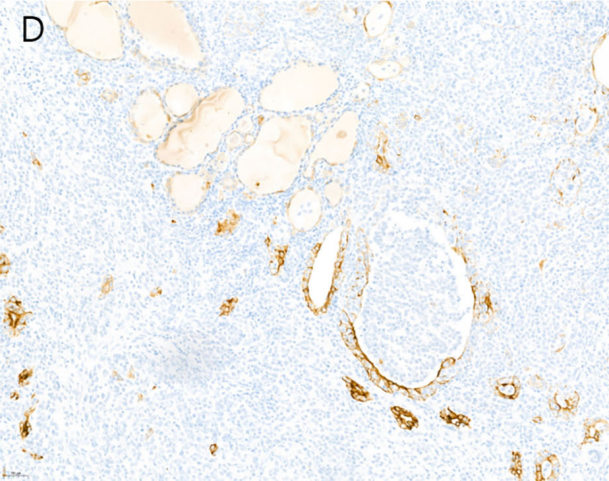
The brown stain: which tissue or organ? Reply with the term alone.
Thyroid follicular epithelium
